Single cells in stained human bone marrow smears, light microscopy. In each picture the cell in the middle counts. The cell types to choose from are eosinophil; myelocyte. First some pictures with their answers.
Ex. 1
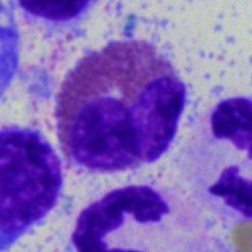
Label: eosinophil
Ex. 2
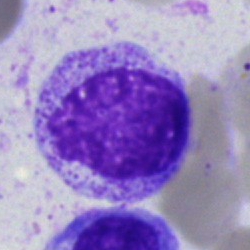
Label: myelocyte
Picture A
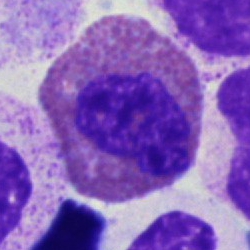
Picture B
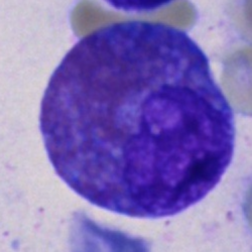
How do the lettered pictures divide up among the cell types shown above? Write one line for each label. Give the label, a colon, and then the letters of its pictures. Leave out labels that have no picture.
eosinophil: A, B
